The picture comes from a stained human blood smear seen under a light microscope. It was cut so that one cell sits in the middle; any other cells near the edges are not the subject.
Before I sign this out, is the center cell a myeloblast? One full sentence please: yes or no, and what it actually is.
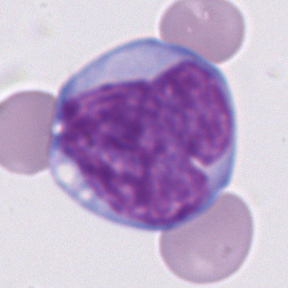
Yes, the cell that occupies the centre is a myeloblast.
